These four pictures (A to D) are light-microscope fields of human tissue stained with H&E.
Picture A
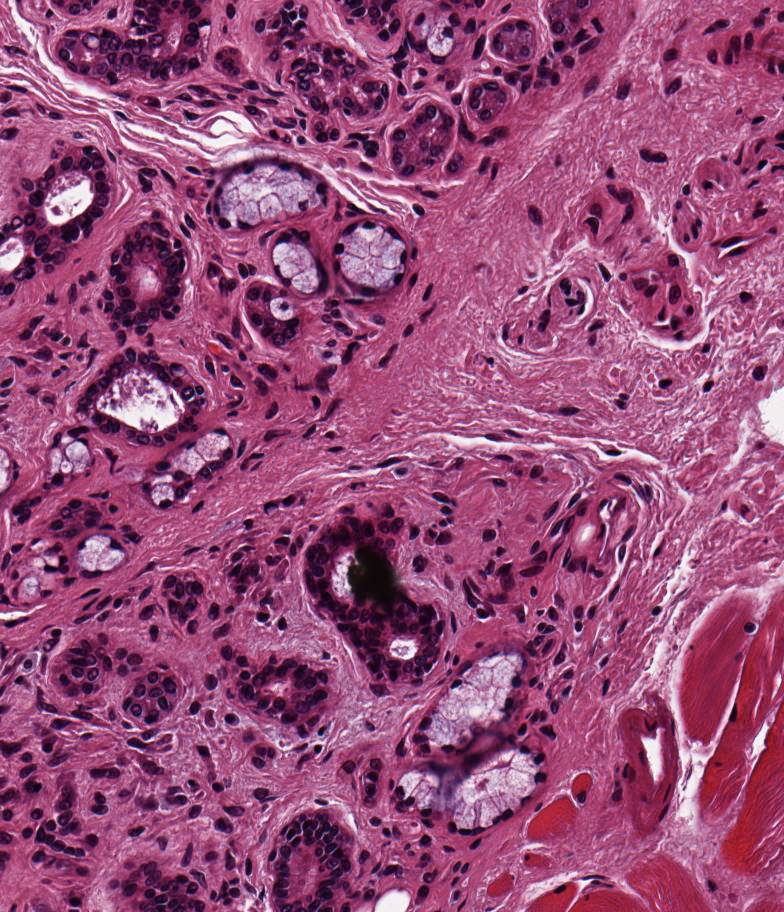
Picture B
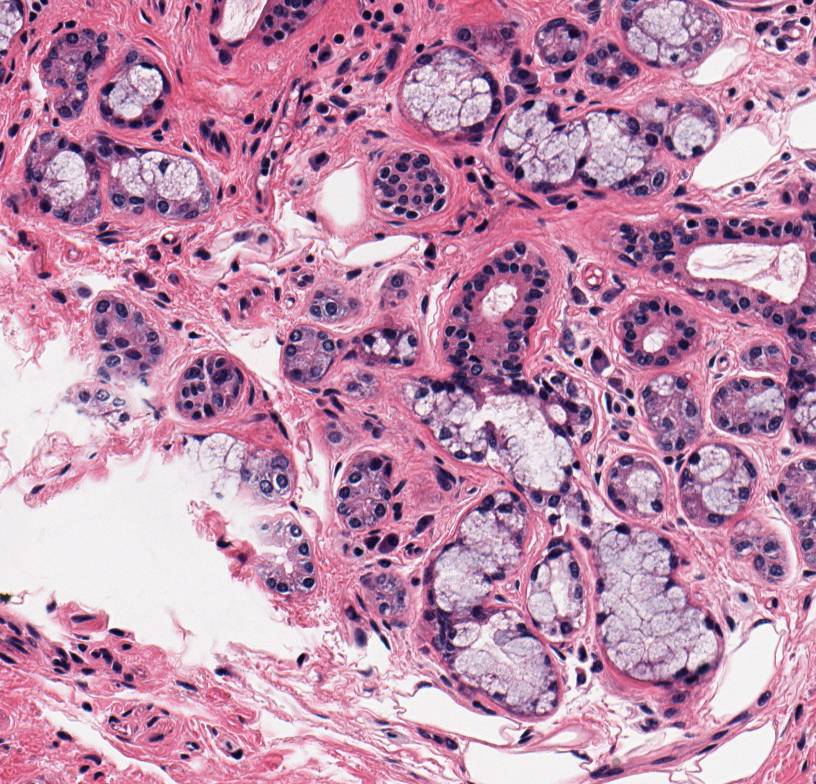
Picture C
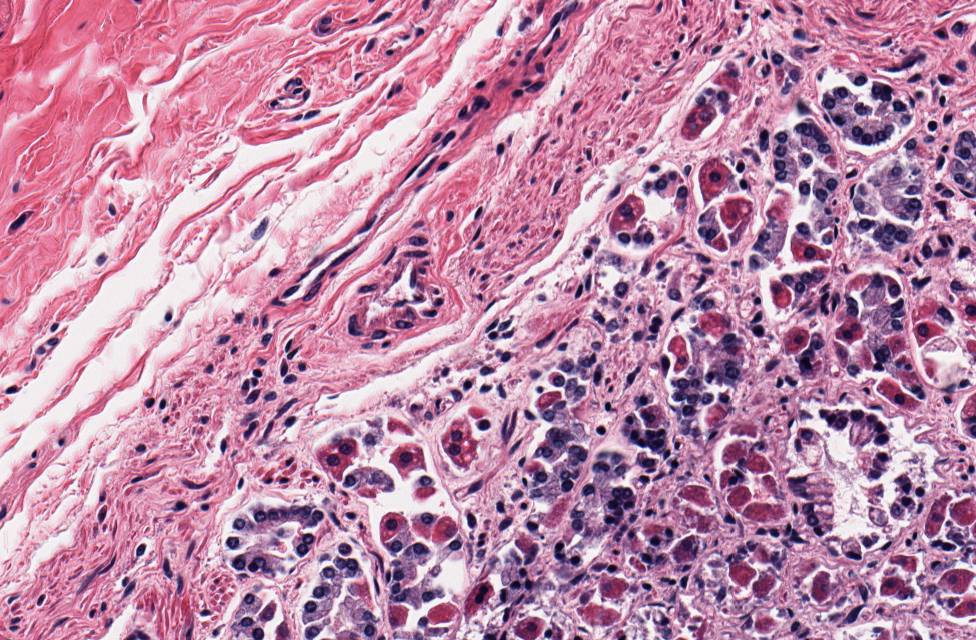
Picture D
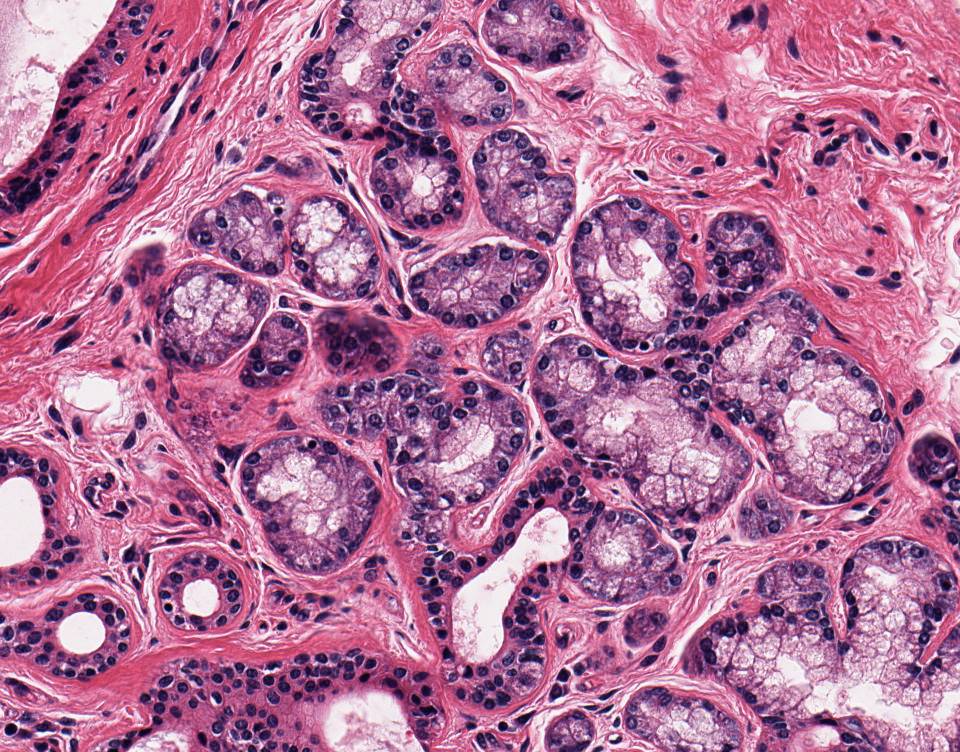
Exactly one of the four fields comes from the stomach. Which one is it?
C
